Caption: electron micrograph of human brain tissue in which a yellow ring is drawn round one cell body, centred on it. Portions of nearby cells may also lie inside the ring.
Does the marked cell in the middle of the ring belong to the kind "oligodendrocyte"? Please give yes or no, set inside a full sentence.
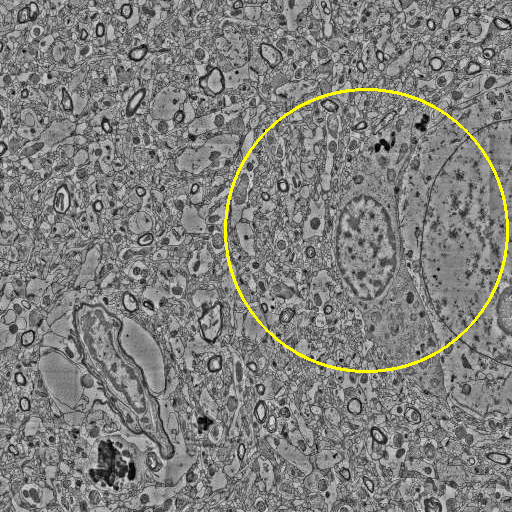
Yes, the marked cell that the ring is centred on in the picture is of that kind.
